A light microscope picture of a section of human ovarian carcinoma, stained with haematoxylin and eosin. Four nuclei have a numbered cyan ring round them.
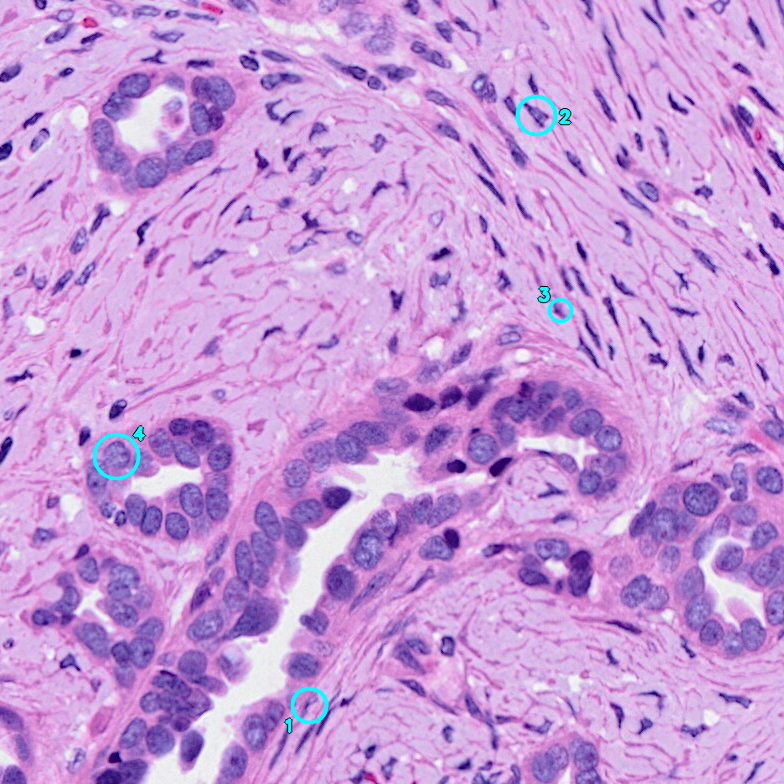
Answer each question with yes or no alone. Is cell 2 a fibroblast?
yes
